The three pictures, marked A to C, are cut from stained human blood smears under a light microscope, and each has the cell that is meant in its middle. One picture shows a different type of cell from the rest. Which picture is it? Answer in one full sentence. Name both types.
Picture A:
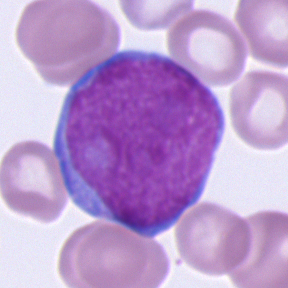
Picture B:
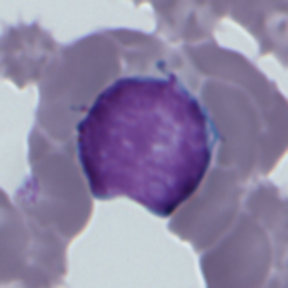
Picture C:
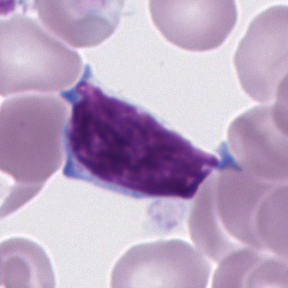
The others show typical lymphocytes, but picture A shows a myeloblast.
